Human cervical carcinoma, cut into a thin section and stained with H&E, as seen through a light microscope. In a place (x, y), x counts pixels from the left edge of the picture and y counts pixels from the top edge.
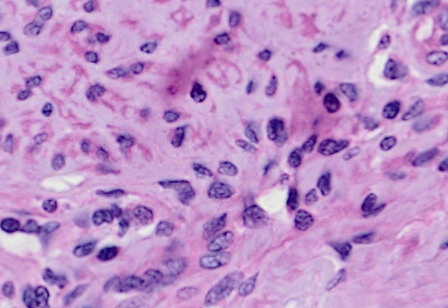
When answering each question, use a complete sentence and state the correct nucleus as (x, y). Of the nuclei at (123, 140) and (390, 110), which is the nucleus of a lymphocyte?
Belonging to a lymphocyte is the nucleus at (390, 110).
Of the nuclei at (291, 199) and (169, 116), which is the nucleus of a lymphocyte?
The nucleus belonging to a lymphocyte is the one at (291, 199).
